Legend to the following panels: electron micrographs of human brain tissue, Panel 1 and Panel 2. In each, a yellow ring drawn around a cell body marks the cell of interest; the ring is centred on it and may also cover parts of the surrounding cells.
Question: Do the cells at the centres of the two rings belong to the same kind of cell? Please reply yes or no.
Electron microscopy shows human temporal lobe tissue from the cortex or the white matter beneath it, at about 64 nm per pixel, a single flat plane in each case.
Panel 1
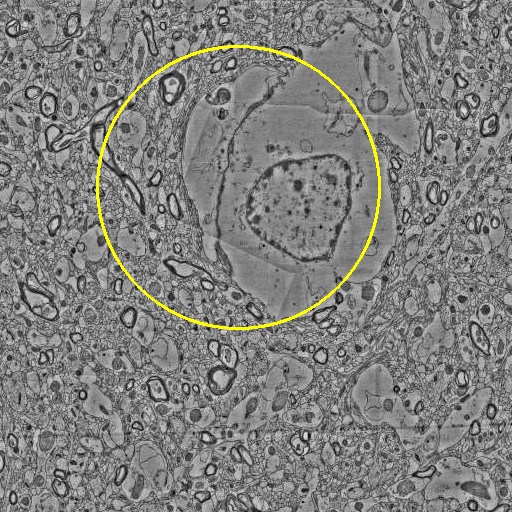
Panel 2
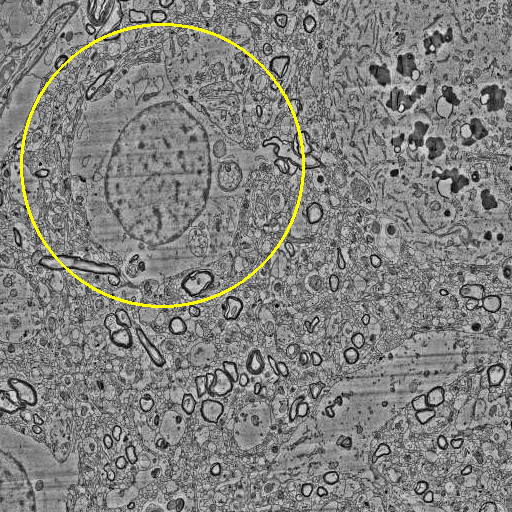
yes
